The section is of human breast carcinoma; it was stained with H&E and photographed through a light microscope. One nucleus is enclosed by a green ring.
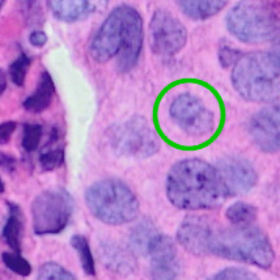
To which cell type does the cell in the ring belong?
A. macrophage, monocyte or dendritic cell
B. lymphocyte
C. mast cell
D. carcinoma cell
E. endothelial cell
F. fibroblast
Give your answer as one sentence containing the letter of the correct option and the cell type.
The right option is D, the cell in the ring being a carcinoma cell.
